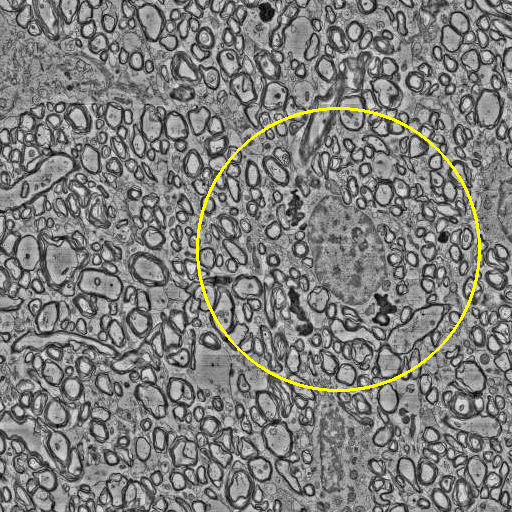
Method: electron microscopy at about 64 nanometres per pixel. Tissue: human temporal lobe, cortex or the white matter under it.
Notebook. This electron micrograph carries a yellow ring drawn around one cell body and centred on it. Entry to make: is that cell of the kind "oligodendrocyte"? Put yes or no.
yes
